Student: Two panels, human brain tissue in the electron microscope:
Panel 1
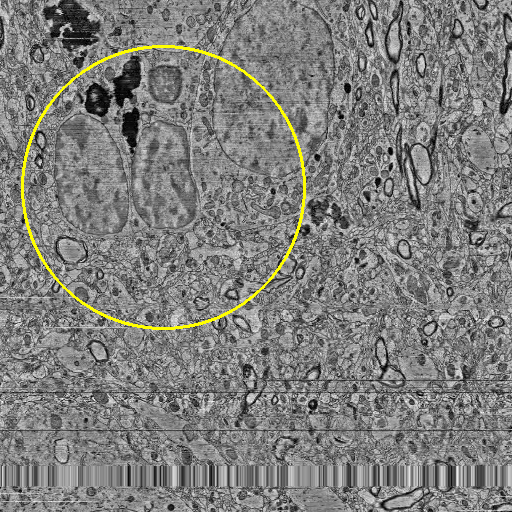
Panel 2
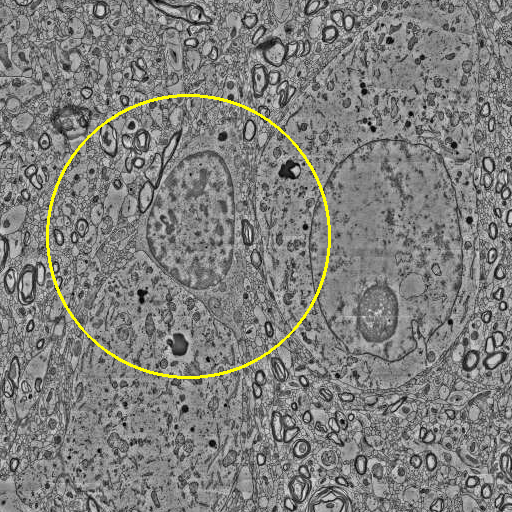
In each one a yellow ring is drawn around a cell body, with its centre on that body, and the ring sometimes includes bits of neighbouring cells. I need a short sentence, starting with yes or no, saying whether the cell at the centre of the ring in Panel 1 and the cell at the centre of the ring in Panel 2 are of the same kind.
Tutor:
Yes, they are the same kind of cell.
